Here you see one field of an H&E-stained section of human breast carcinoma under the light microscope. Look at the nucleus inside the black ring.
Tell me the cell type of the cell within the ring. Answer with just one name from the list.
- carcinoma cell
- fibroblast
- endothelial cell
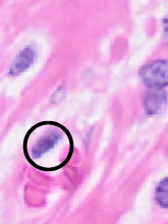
endothelial cell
